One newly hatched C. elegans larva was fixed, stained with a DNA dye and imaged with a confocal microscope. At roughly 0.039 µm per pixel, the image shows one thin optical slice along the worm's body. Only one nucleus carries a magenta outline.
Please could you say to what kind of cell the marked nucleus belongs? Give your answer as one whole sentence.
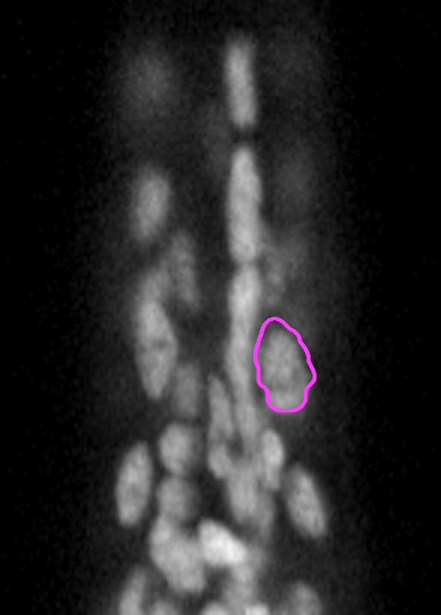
This is the nucleus of a body wall muscle cell.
